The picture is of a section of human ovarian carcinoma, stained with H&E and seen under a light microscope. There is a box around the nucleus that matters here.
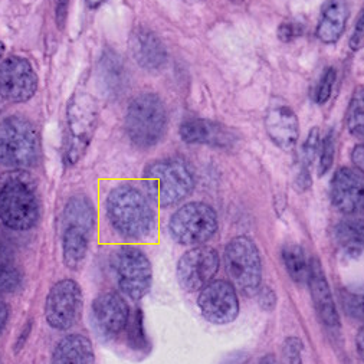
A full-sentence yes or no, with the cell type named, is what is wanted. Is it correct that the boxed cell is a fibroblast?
No; the boxed cell should be labelled a carcinoma cell rather than a fibroblast.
